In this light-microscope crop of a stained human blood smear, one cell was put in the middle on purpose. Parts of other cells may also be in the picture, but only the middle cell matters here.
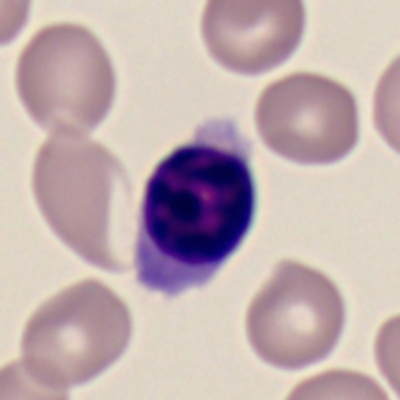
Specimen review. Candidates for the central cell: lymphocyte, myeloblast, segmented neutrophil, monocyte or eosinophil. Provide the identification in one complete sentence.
The middle position in this crop is taken by a lymphocyte.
